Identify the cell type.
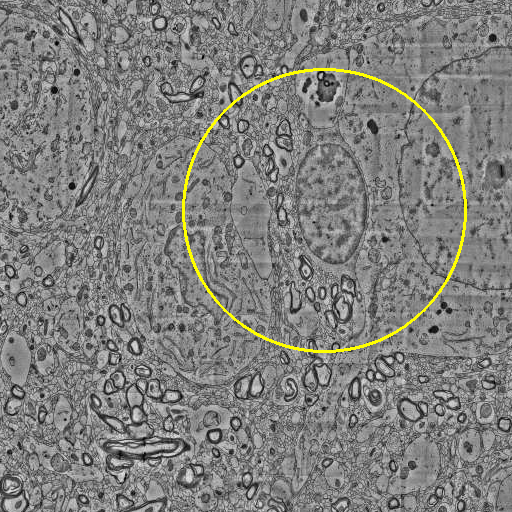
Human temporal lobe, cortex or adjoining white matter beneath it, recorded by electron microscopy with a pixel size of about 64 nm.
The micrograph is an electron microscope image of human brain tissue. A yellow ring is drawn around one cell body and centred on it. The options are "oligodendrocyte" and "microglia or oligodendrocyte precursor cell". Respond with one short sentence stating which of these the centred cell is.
The cell body in the ring belongs to an oligodendrocyte.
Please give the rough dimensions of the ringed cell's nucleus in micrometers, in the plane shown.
In this plane the nucleus is clearly longer than it is wide, at approximately 8 by 5 micrometres.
